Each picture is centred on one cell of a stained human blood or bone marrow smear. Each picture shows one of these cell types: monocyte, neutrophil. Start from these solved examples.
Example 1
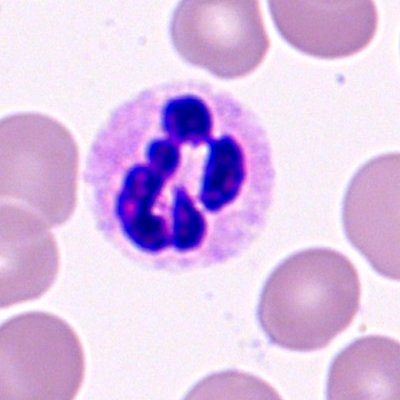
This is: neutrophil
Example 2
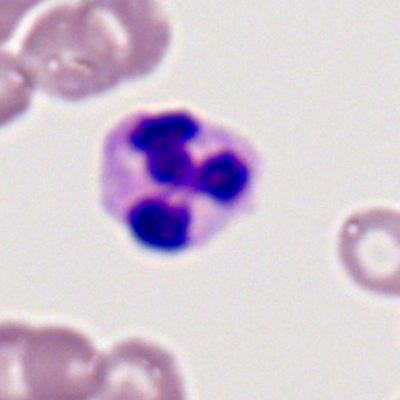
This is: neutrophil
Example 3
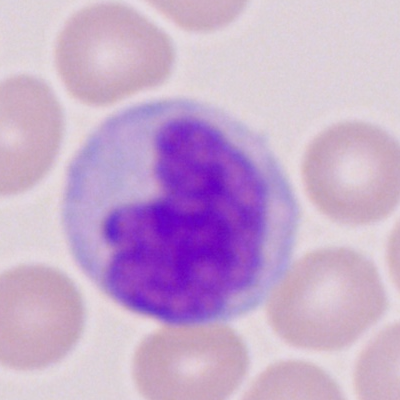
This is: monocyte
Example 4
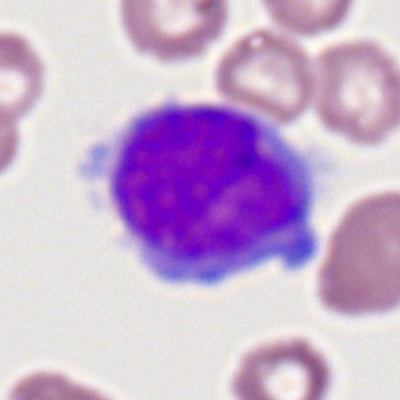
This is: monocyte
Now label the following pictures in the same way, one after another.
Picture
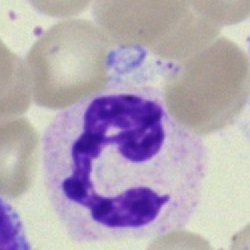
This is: neutrophil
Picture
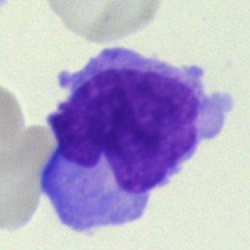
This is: monocyte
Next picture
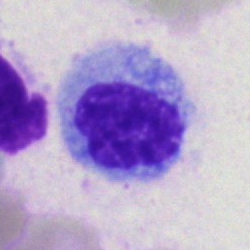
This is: monocyte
